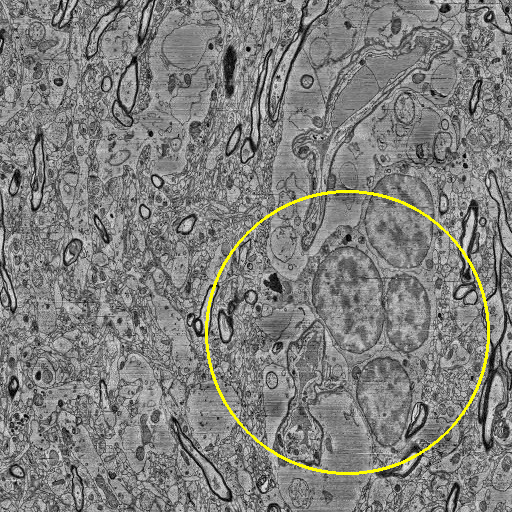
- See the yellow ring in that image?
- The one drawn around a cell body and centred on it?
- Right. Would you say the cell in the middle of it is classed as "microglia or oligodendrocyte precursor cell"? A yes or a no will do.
no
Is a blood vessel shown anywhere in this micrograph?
Yes, one shows.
